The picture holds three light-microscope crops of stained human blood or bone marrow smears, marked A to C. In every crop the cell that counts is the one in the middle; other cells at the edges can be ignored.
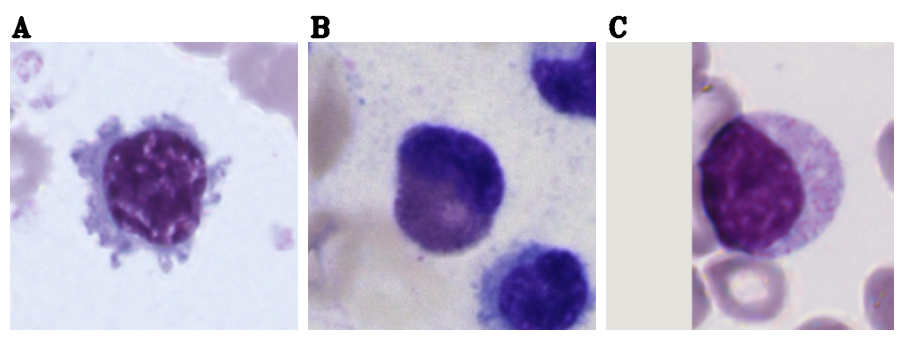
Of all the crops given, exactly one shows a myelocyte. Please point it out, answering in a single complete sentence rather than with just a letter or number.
The cell identified as a myelocyte is the one in crop C.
